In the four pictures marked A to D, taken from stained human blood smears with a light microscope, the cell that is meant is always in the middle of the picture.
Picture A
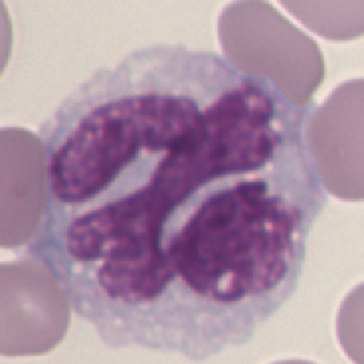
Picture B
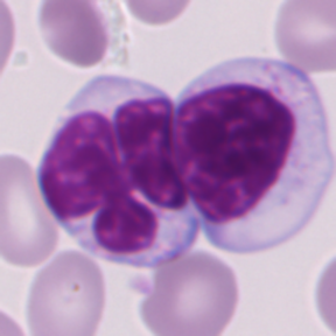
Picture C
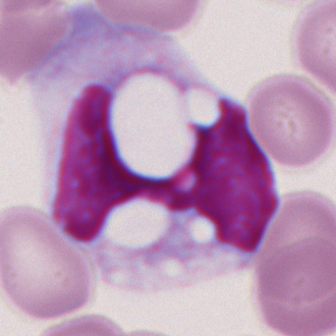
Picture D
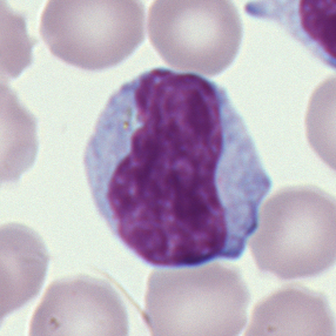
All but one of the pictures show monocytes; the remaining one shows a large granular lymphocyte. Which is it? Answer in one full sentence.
The large granular lymphocyte is the one in picture B.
